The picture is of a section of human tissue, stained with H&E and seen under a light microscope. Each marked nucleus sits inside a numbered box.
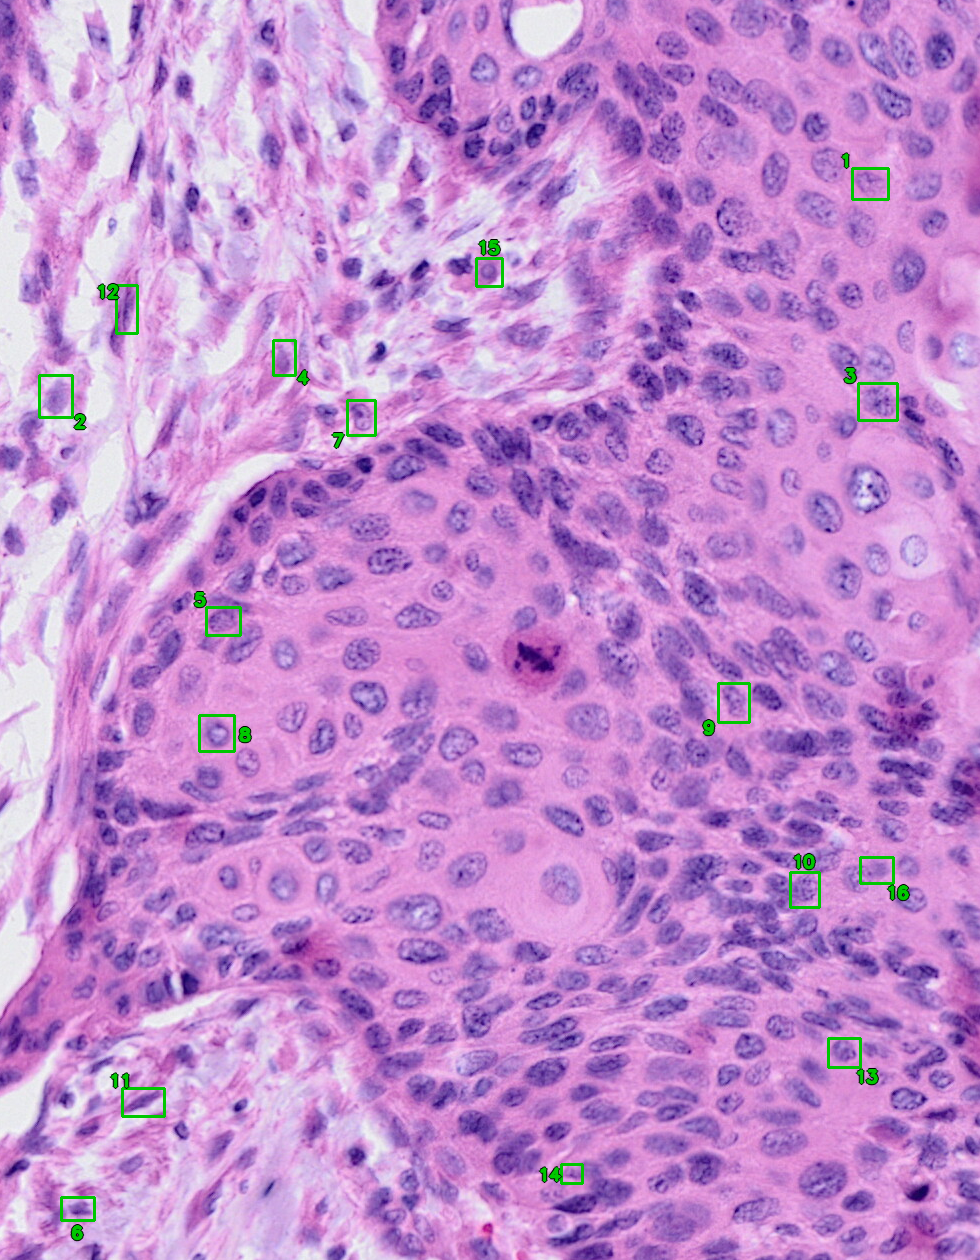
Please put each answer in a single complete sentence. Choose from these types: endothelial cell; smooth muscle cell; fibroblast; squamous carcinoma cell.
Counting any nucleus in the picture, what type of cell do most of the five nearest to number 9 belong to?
Most of the five nuclei nearest to number 9 are those of squamous carcinoma cells.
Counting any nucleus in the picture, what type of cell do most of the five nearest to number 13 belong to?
The majority of the five nuclei closest to number 13 belong to squamous carcinoma cells.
